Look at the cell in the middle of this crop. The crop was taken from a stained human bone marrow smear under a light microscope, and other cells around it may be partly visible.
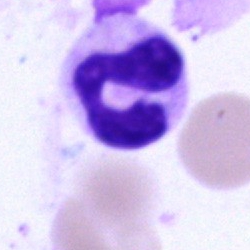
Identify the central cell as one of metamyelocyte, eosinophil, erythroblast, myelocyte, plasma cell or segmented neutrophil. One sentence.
The cell sitting right in the middle is a segmented neutrophil.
